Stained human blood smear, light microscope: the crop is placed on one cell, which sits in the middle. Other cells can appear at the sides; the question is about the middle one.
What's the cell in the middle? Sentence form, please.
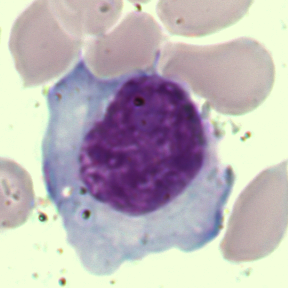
The cell that lies at the centre of the crop is a plasma cell.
